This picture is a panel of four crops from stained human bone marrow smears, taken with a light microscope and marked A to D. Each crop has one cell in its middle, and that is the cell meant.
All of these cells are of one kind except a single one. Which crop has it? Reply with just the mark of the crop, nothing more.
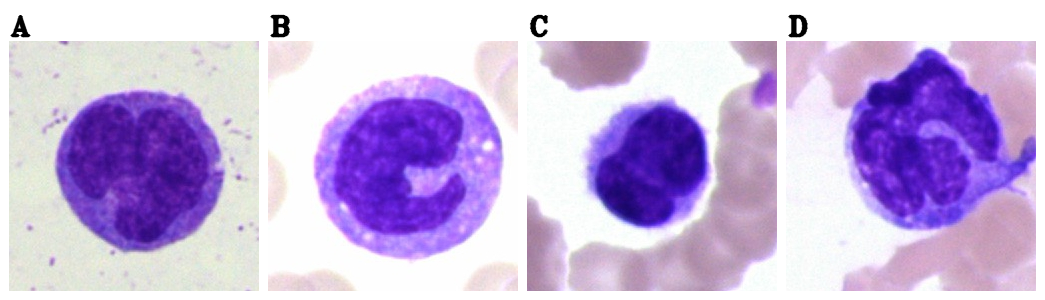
C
